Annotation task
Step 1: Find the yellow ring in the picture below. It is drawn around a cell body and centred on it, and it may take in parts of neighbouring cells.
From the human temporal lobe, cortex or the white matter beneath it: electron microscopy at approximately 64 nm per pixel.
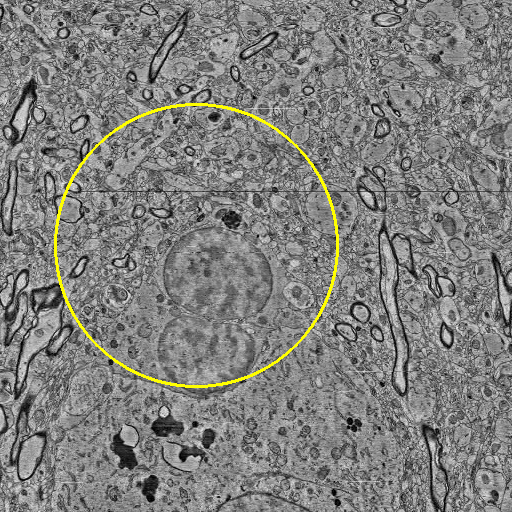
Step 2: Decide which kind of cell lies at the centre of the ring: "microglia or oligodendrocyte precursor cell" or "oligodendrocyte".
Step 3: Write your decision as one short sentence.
The kind of cell at the ring's centre is an oligodendrocyte.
